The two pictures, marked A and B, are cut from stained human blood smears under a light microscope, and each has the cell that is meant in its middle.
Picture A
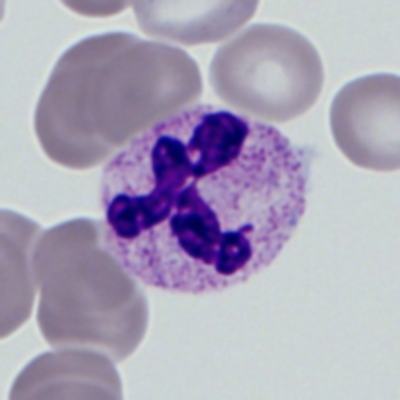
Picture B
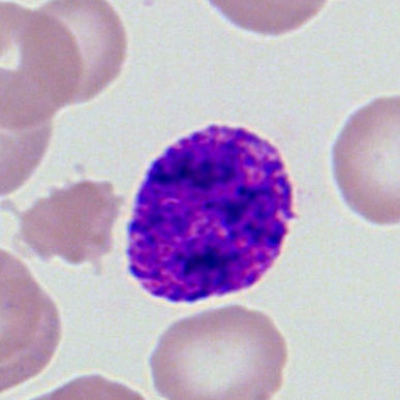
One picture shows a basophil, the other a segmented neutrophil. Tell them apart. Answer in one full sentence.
It is picture A that shows a segmented neutrophil, and picture B that shows a basophil.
